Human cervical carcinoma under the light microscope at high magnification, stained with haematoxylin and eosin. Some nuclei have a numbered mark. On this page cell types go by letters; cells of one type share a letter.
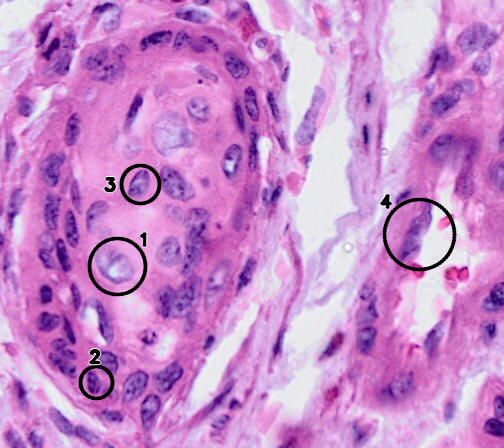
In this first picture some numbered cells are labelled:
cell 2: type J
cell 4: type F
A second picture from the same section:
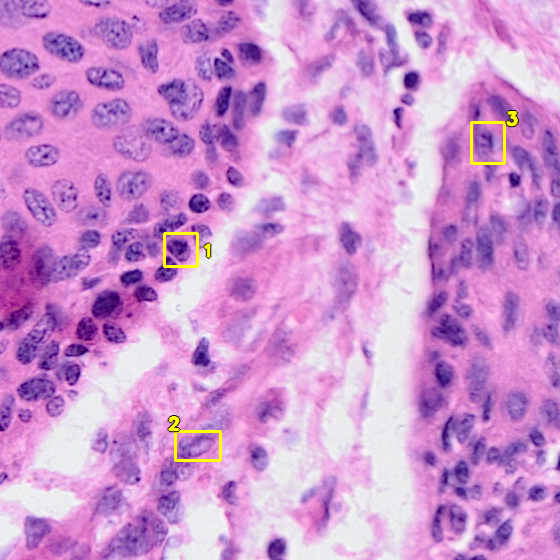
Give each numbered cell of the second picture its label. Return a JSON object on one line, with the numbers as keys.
{"1": "type J", "2": "type F", "3": "type J"}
